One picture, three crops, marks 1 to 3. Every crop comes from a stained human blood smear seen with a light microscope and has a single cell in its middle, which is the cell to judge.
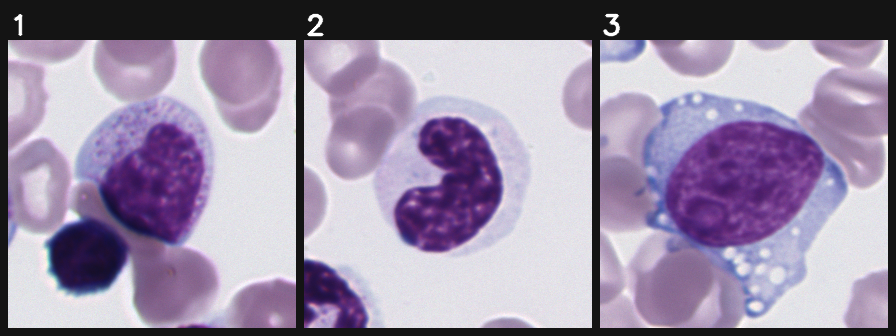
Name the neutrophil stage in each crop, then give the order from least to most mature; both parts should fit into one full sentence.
The order of maturity, lowest to highest, is crop 3 (a myeloblast), crop 1 (a myelocyte) and crop 2 (a band neutrophil).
